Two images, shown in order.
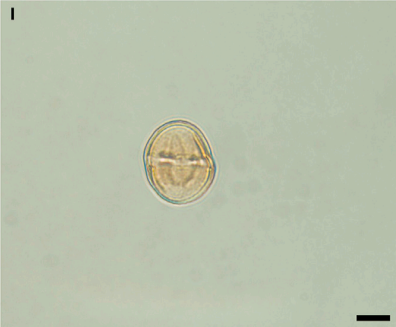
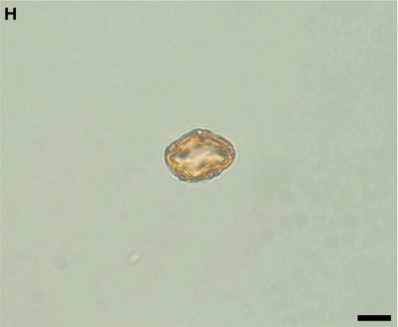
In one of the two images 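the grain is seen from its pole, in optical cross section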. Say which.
The second image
